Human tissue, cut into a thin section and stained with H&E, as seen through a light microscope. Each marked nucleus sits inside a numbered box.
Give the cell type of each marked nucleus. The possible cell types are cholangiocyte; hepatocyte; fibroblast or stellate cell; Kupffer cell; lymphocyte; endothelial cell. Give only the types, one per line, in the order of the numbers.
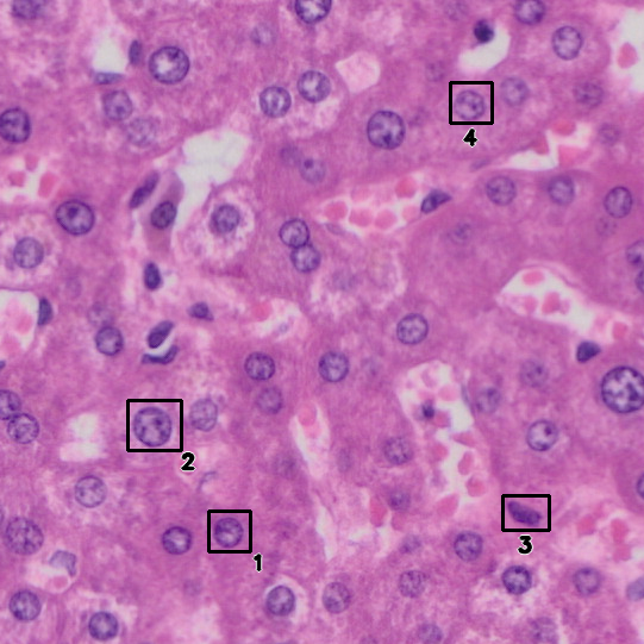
hepatocyte
hepatocyte
fibroblast or stellate cell
hepatocyte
